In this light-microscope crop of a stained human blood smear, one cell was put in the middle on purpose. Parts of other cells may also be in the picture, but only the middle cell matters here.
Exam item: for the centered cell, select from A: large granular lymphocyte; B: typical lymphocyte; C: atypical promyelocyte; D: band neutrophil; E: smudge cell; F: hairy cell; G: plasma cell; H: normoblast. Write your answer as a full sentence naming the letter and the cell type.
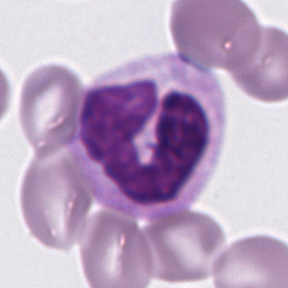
The correct option here is D; the middle cell is a band neutrophil.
